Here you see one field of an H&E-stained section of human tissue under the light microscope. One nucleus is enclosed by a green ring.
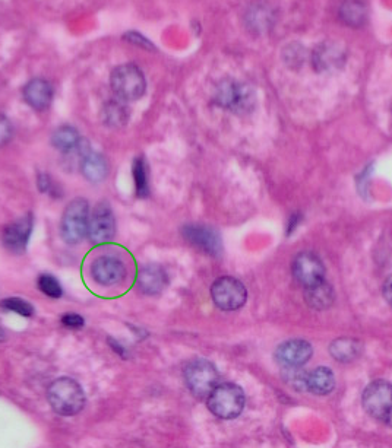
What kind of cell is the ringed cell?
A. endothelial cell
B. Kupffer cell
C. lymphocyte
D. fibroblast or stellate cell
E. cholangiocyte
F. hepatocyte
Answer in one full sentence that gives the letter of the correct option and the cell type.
Identified correctly by option E, the ringed cell is a cholangiocyte.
